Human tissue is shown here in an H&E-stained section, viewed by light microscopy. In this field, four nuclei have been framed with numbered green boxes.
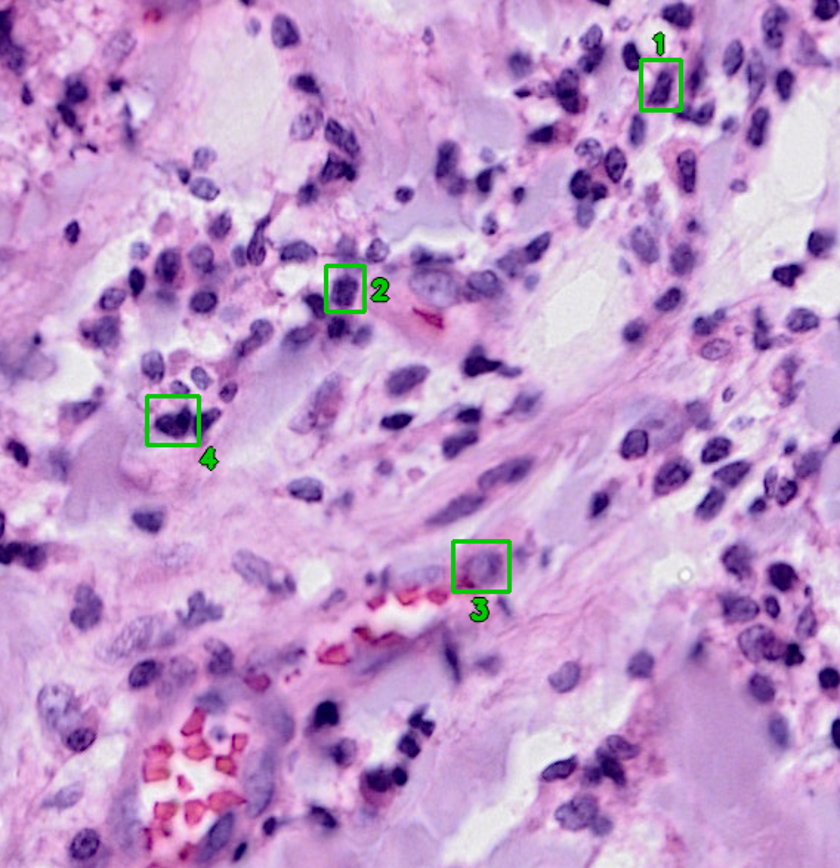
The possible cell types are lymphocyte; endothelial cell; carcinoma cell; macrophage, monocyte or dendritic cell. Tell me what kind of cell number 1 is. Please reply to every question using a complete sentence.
The identity of cell 1 is that of a lymphocyte.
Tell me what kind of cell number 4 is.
The cell numbered 4 represents a lymphocyte.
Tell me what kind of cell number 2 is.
In the marked set, the cell given number 2 is a lymphocyte.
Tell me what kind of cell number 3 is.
Here the cell numbered 3 is an endothelial cell.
